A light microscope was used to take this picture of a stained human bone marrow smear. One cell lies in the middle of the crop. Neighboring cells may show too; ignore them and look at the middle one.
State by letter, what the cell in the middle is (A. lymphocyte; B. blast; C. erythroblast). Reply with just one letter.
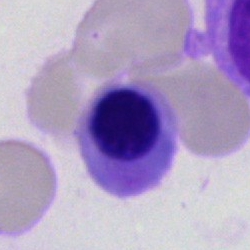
C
